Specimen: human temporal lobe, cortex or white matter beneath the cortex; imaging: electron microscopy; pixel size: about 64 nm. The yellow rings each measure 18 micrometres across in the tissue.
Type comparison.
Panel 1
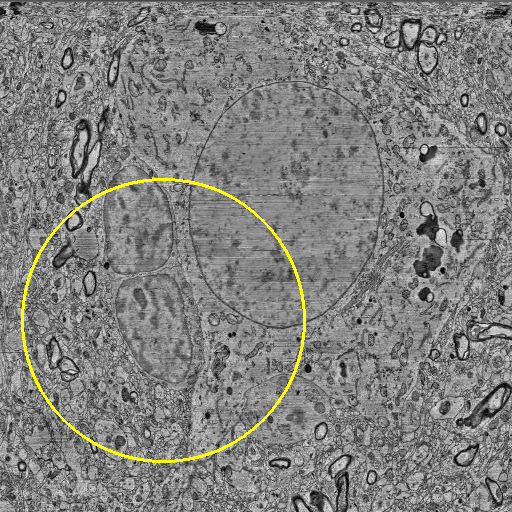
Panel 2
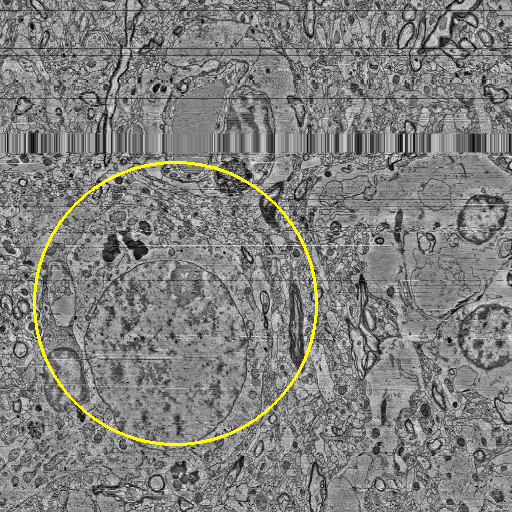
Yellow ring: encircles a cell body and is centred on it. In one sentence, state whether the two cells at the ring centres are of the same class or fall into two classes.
In these panels, the two cells at the ring centres fall into two classes.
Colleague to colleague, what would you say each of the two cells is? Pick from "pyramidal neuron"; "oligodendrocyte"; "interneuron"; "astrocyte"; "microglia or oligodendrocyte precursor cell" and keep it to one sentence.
The cell in the first picture is an oligodendrocyte; the second picture's cell is a pyramidal neuron.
